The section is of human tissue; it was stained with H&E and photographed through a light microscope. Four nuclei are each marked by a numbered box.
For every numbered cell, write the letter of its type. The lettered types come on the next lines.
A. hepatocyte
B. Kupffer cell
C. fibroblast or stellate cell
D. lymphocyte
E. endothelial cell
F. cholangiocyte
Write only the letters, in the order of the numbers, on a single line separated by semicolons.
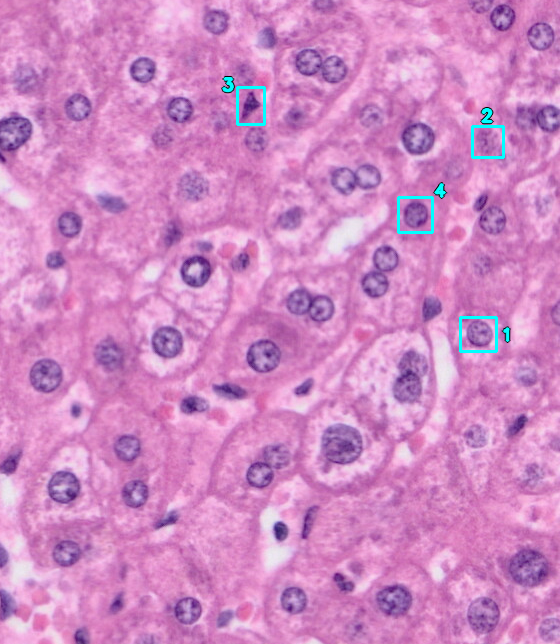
A; A; C; A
